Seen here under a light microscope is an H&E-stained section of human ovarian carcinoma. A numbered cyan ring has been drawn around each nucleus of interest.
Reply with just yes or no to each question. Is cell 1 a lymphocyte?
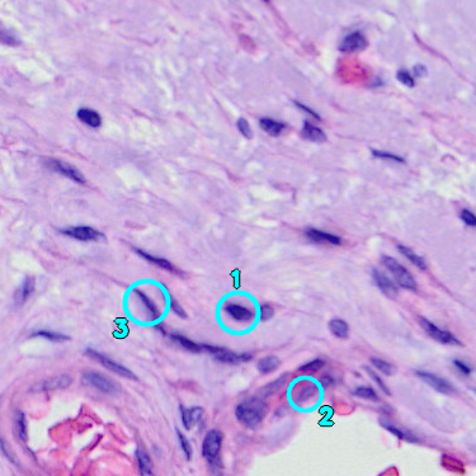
yes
